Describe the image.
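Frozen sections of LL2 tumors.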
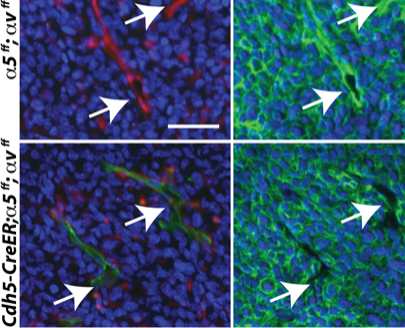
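This is tumour tissue made of densely packed cells, with small blood vessels running between them. Round to oval blue nuclei fill the field. In the left-hand images, elongated vessel segments show up in red or green against the nuclei. In the right-hand images, green membrane staining outlines the tumour cells throughout. White arrows point to vessel segments, and in the lower right image these segments appear as dark gaps within the green staining.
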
